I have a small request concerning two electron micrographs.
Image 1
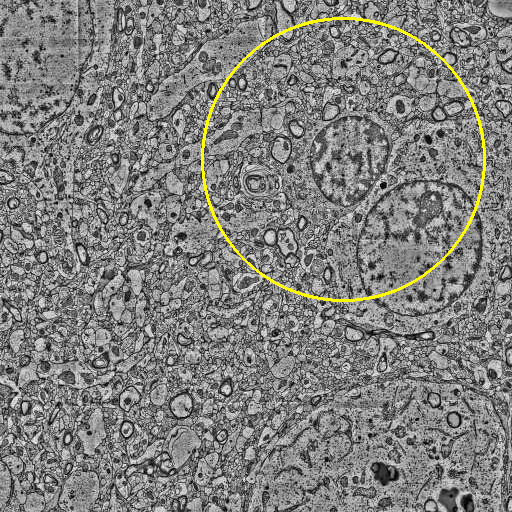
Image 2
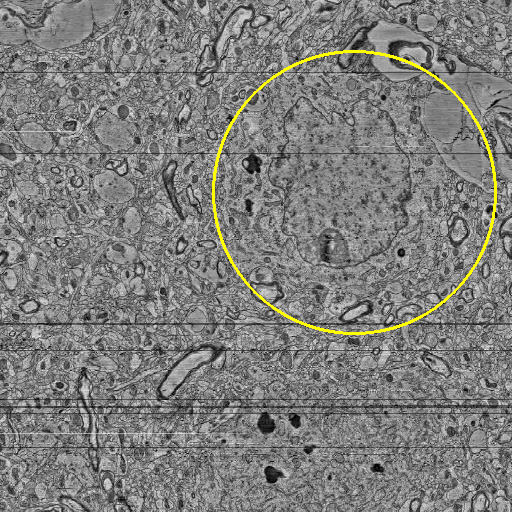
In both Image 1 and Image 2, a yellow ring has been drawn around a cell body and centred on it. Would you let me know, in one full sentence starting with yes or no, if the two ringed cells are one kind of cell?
No, the cells ringed in Image 1 and Image 2 are two kinds of cell.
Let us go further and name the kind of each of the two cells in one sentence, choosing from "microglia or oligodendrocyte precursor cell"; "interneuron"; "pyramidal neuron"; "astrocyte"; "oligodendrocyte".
The ring of the first picture is on an oligodendrocyte, the ring of the second on a pyramidal neuron.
